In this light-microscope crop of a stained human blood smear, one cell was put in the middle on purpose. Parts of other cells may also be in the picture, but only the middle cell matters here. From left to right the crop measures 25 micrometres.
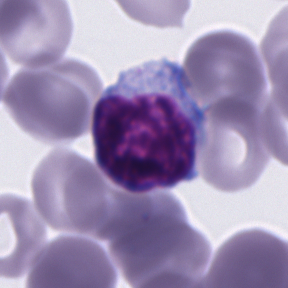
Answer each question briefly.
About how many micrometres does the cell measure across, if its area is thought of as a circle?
11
